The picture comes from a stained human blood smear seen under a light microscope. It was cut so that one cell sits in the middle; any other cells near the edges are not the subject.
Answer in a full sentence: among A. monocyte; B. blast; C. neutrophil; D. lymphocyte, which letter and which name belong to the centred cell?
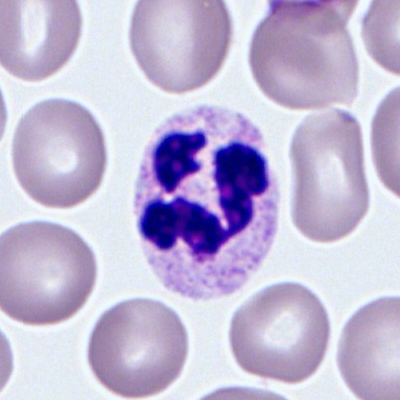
The cell placed in the middle is a neutrophil; option C is correct.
